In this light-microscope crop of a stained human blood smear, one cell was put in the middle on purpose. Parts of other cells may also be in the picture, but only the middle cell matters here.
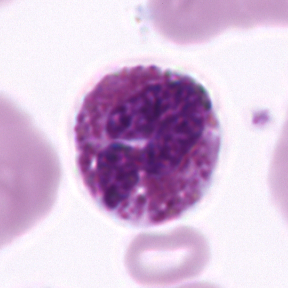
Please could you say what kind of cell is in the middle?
eosinophil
